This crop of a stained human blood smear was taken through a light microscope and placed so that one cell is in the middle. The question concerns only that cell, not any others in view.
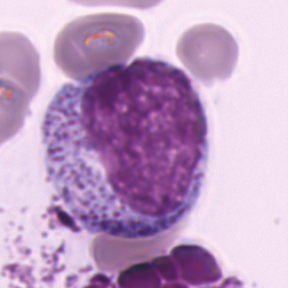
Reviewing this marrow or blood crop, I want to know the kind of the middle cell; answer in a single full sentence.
The cell at the central position in this crop is a promyelocyte.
